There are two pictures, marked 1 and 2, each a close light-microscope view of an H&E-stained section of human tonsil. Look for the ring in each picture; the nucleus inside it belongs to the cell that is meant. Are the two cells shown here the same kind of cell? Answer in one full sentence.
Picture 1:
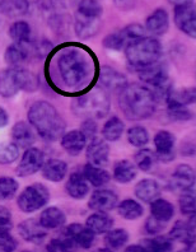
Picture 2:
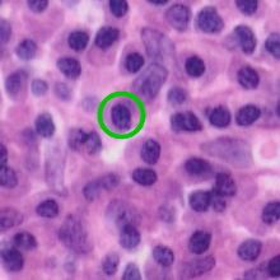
No, the types are not the same, since picture 1 shows a proliferating B cell and picture 2 a plasma cell.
